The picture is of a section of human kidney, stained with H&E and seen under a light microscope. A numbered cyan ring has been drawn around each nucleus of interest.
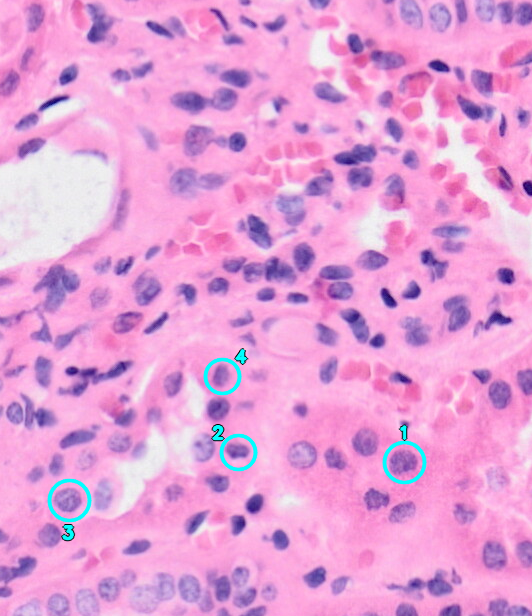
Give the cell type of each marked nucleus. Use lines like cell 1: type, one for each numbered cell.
cell 1: proximal tubule cell
cell 2: loop of Henle or distal tubule cell
cell 3: loop of Henle or distal tubule cell
cell 4: loop of Henle or distal tubule cell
